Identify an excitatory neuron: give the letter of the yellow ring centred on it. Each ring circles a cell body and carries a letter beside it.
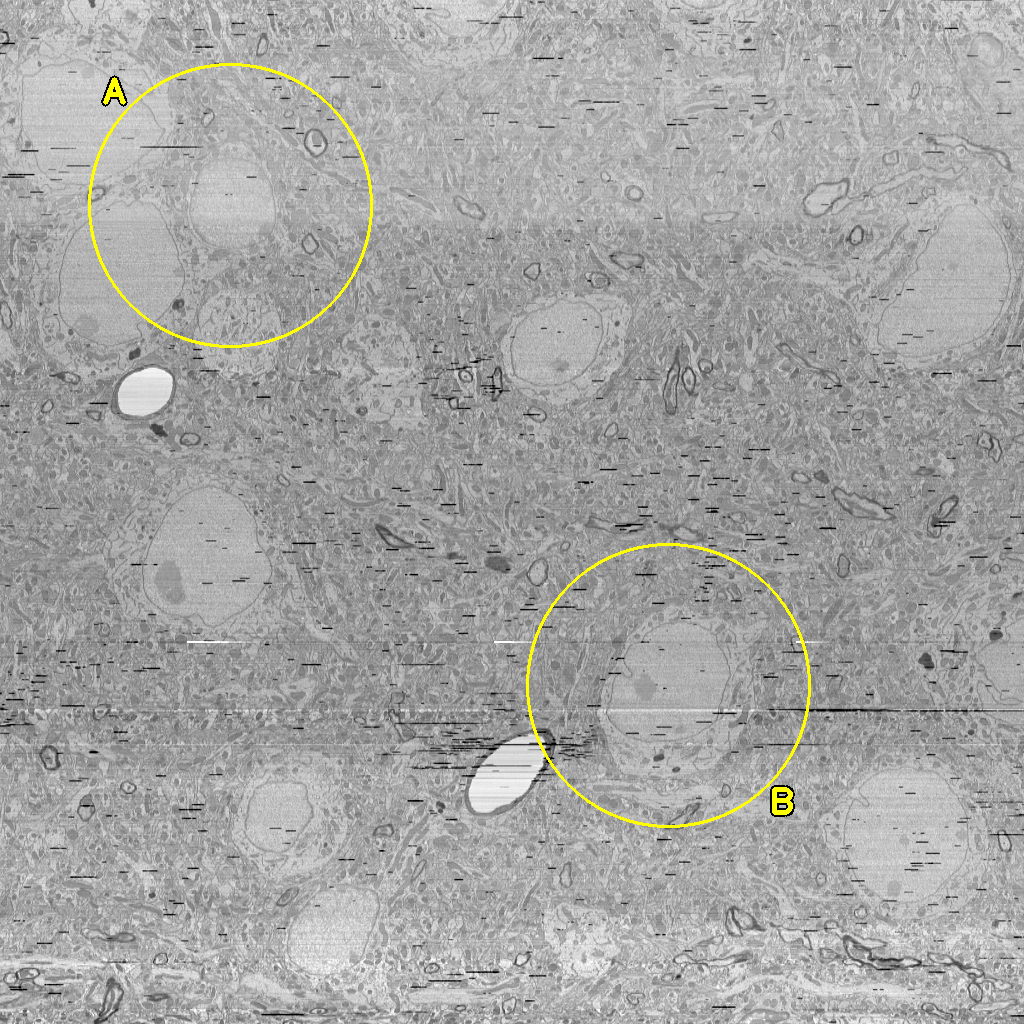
B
